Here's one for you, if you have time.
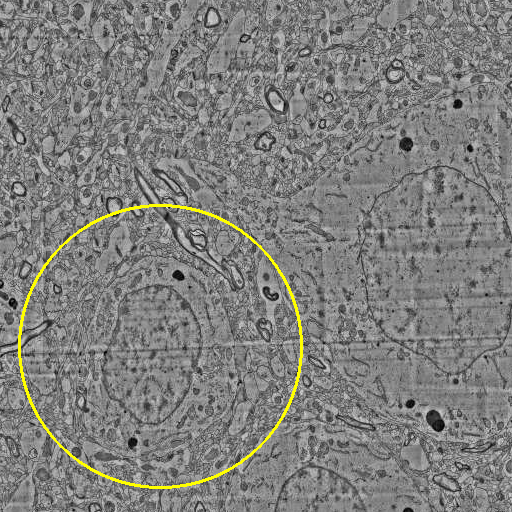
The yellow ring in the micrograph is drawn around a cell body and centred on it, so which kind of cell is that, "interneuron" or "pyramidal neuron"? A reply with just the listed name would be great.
interneuron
